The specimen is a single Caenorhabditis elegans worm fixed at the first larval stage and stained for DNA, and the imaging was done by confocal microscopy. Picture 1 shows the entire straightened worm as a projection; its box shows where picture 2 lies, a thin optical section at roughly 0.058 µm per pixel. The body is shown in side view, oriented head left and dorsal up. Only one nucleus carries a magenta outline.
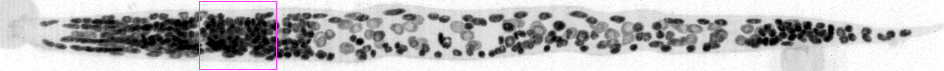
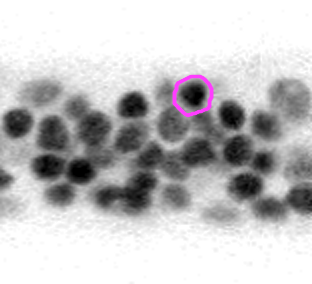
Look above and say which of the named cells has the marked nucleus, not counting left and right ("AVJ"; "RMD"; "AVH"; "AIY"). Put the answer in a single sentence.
The nucleus is from AVH, a neuron.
